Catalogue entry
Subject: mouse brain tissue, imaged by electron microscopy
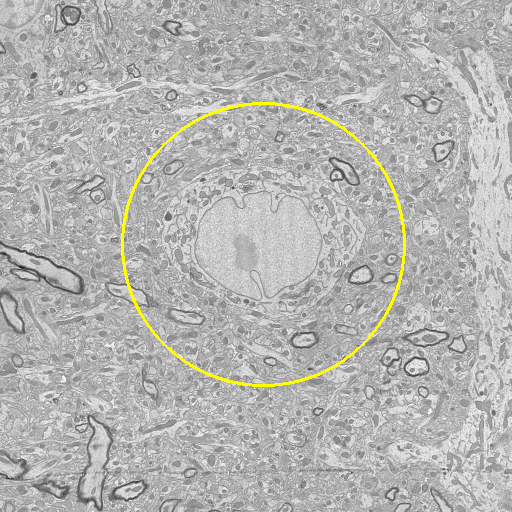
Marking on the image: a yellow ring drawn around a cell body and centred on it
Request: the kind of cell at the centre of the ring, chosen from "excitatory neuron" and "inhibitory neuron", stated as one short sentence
The ring has an inhibitory neuron at its centre.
